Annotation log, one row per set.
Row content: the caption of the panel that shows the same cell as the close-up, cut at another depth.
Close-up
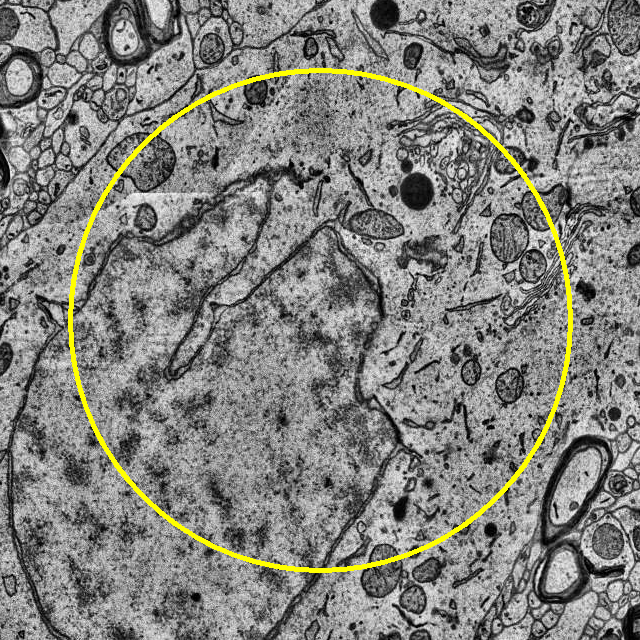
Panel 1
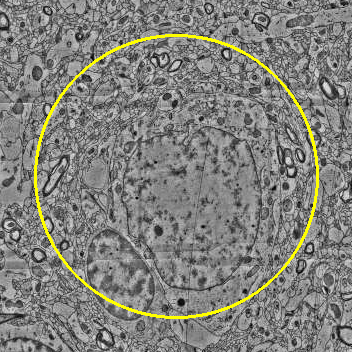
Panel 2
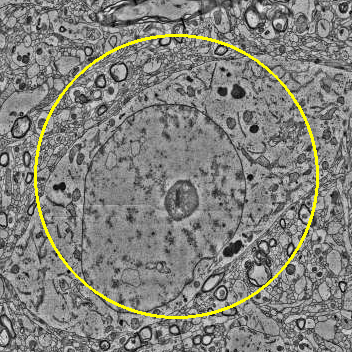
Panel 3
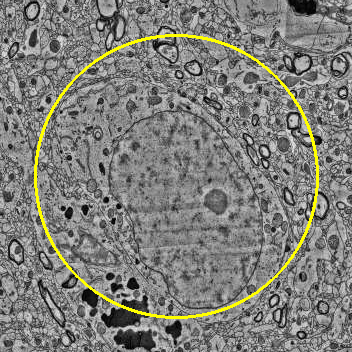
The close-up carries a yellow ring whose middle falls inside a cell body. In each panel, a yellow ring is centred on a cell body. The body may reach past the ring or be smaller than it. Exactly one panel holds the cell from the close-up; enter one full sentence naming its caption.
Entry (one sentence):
The close-up captures the cell that carries a yellow ring in Panel 2.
